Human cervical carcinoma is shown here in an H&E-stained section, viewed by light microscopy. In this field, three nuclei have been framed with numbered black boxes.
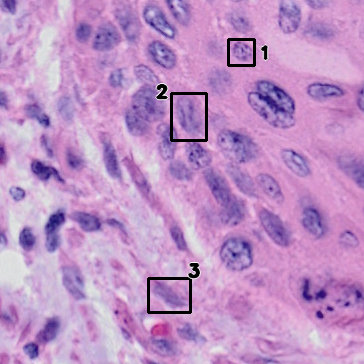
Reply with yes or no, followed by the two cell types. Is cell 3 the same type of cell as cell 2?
No, cell 3 is categorized as a fibroblast, while cell 2 is categorized as a squamous carcinoma cell.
